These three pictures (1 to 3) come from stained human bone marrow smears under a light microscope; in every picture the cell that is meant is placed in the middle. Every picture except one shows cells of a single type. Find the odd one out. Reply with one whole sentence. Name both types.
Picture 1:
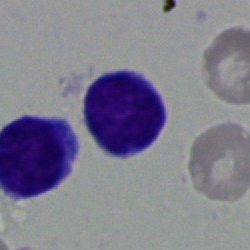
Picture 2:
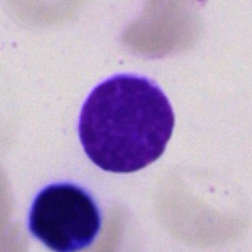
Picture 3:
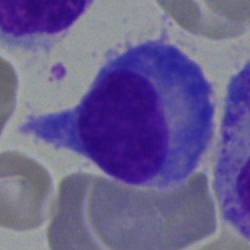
Picture 3 differs, because its cell is a plasma cell and the rest are lymphocytes.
